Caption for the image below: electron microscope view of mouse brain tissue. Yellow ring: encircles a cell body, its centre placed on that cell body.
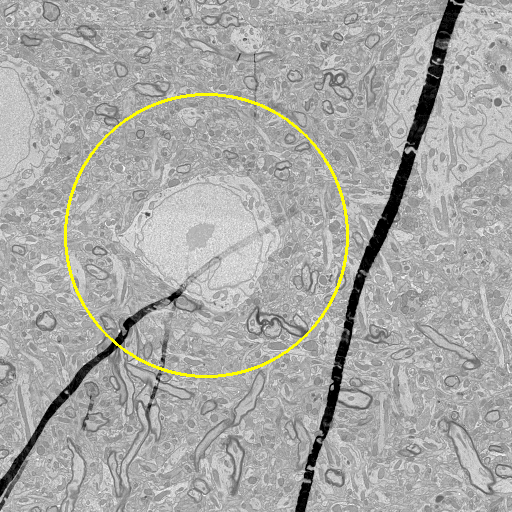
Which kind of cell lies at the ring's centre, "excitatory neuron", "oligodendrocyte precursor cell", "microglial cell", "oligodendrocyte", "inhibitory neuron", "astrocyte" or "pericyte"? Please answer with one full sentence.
The picture shows an inhibitory neuron at the centre of the yellow ring.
